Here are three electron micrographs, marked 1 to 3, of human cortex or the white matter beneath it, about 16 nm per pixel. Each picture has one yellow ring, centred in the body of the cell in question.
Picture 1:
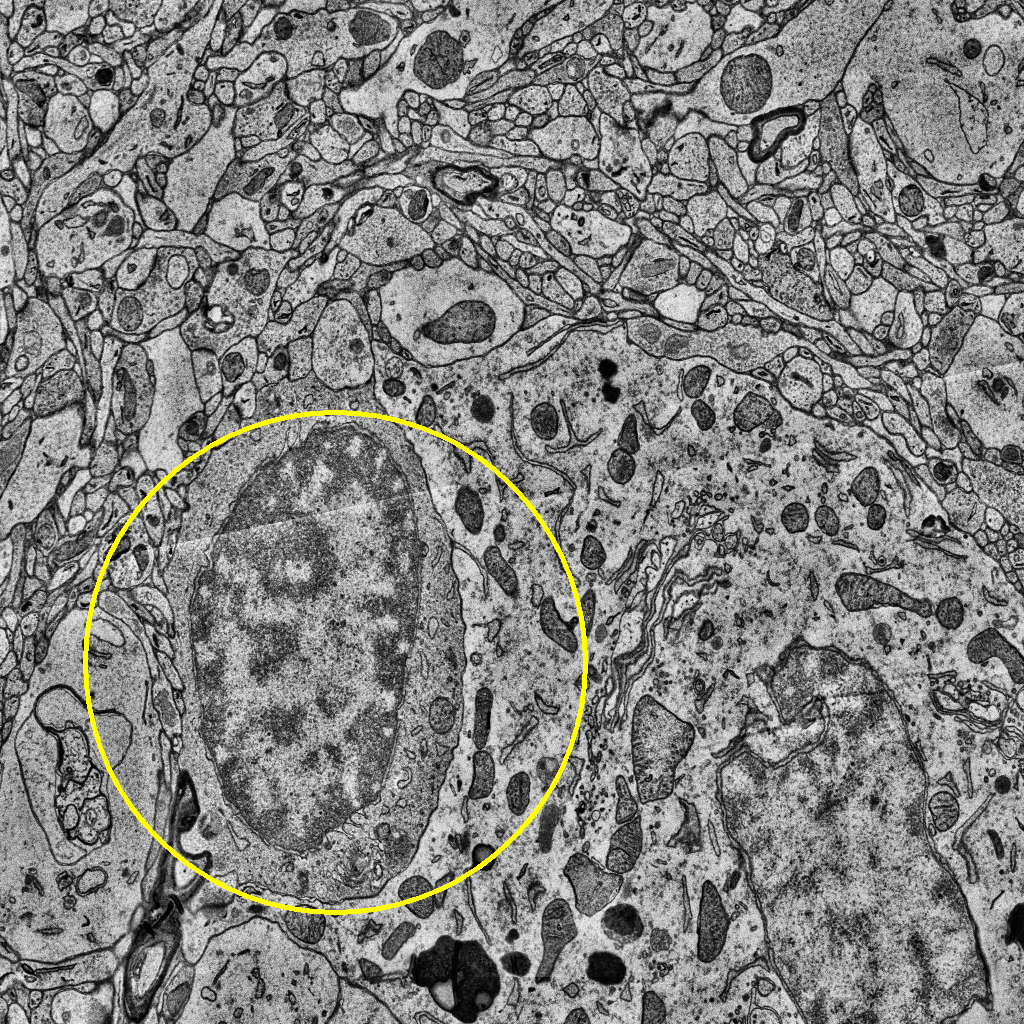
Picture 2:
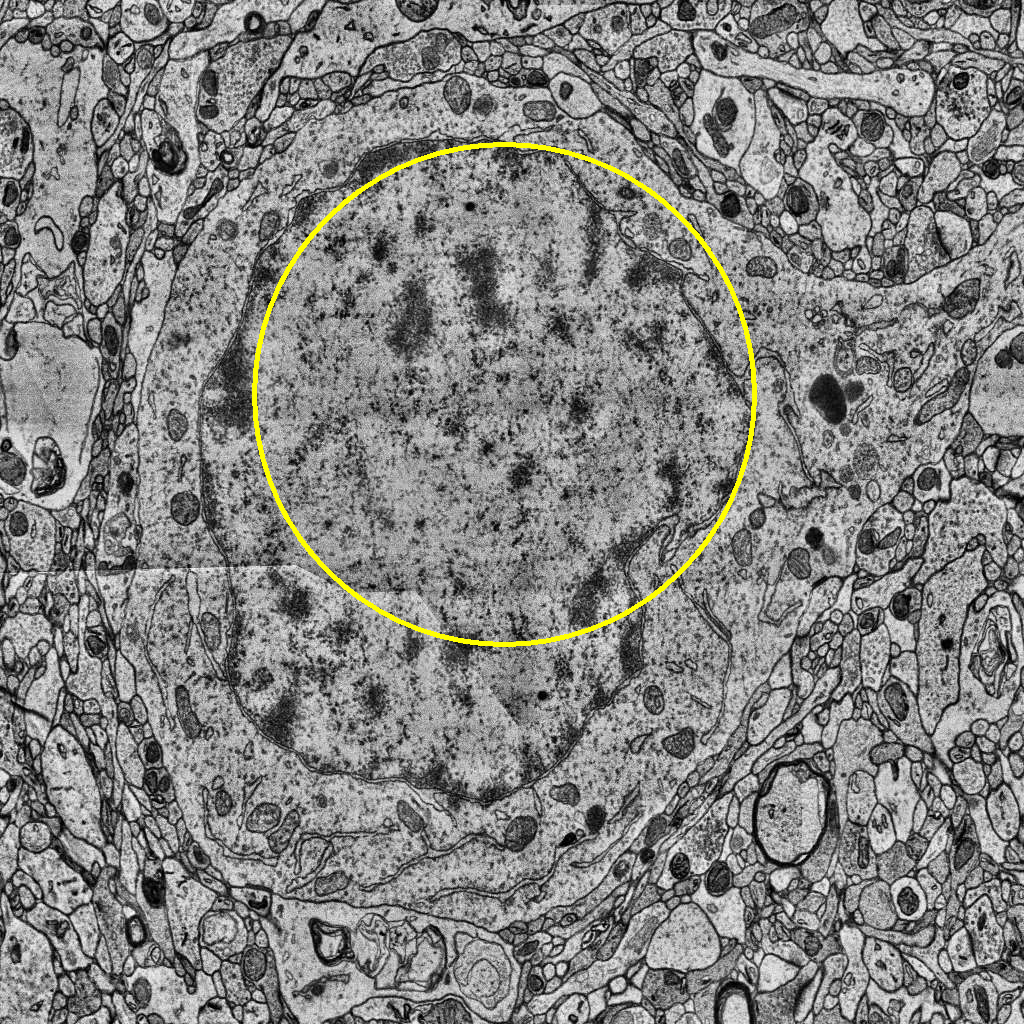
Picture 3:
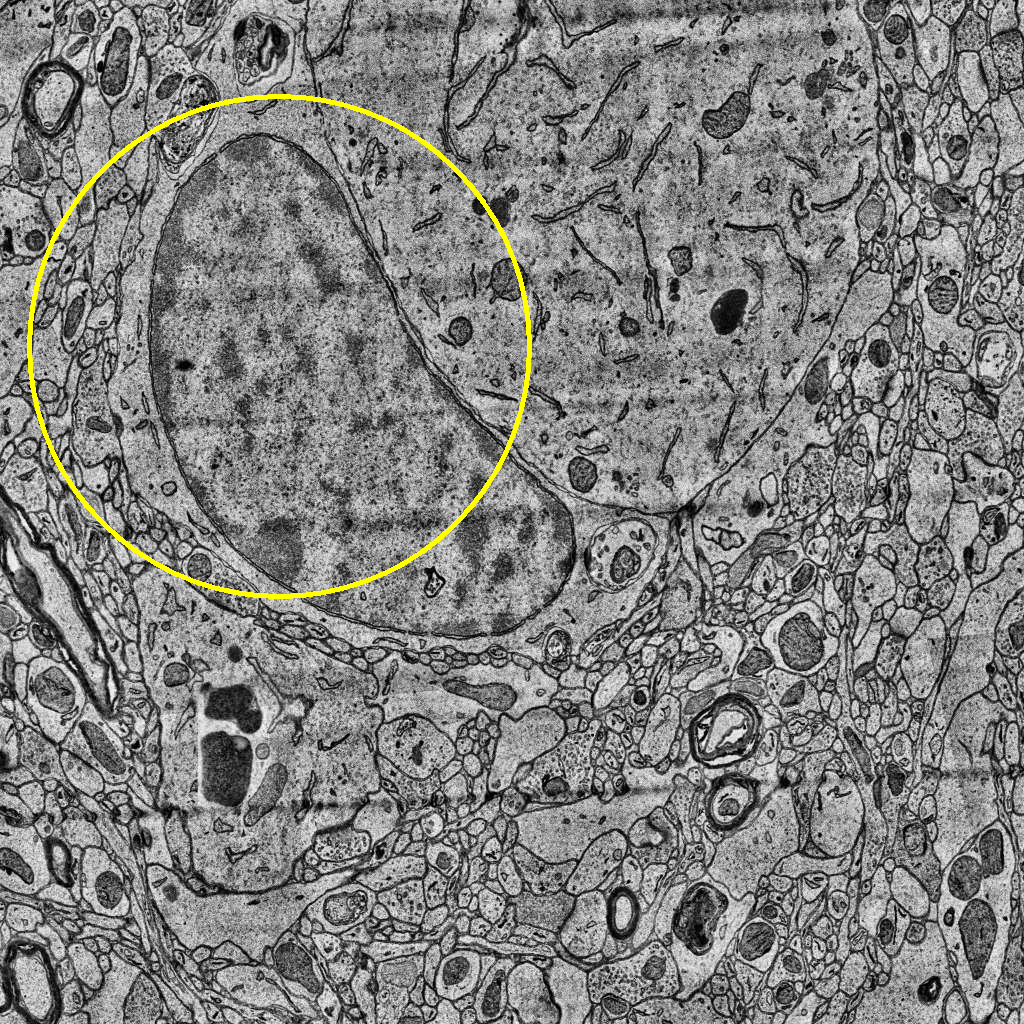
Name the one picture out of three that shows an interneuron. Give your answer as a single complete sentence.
The picture with the interneuron is 2.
